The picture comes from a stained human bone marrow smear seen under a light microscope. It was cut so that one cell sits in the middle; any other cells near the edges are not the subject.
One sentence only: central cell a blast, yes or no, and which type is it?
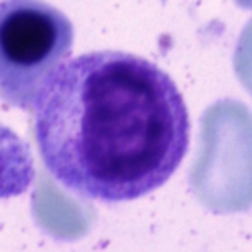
No, it is not a blast that sits at the centre but a promyelocyte.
